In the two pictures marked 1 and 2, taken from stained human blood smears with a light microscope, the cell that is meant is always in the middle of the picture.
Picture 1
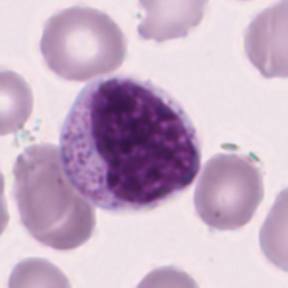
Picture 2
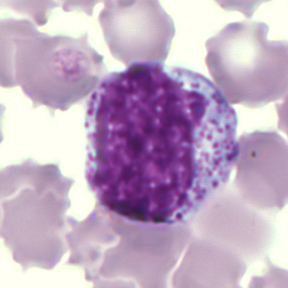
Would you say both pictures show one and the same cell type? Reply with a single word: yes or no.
yes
